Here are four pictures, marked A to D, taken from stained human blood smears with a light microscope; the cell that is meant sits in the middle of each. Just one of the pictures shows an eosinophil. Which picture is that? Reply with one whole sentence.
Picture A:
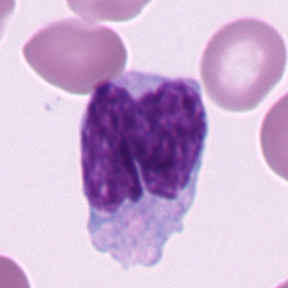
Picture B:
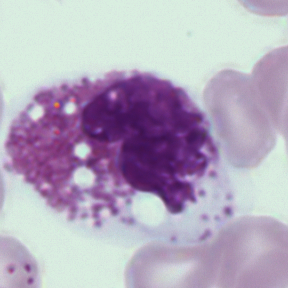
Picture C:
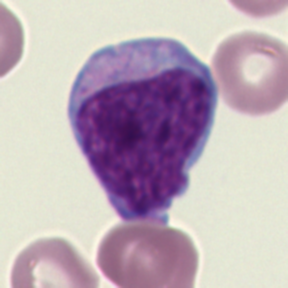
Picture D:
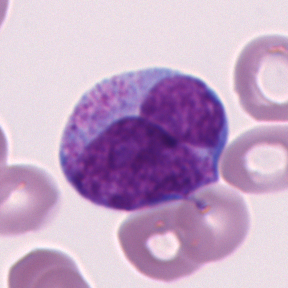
Picture B shows the eosinophil.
